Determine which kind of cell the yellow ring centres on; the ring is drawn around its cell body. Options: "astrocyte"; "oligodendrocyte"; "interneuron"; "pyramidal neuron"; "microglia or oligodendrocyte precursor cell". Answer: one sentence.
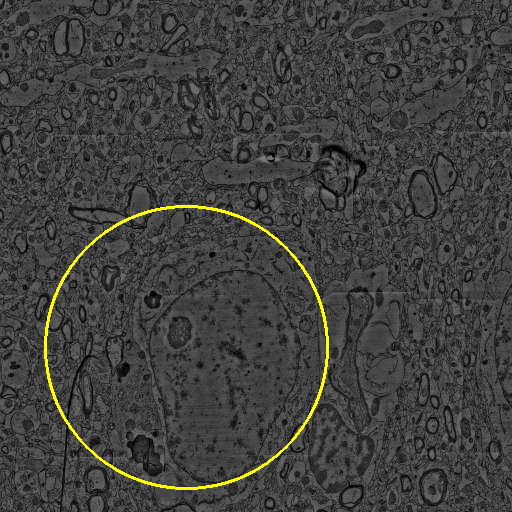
The ring centres on a pyramidal neuron.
